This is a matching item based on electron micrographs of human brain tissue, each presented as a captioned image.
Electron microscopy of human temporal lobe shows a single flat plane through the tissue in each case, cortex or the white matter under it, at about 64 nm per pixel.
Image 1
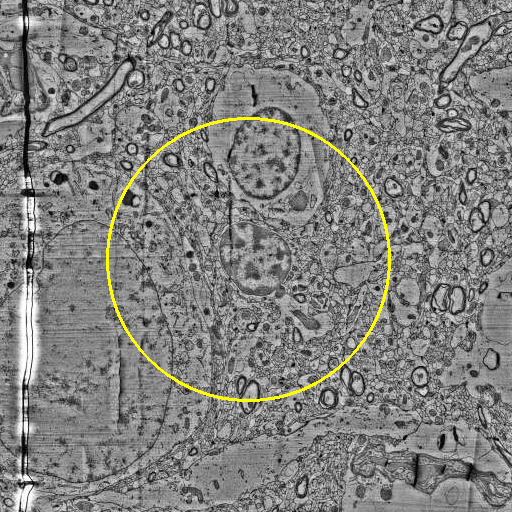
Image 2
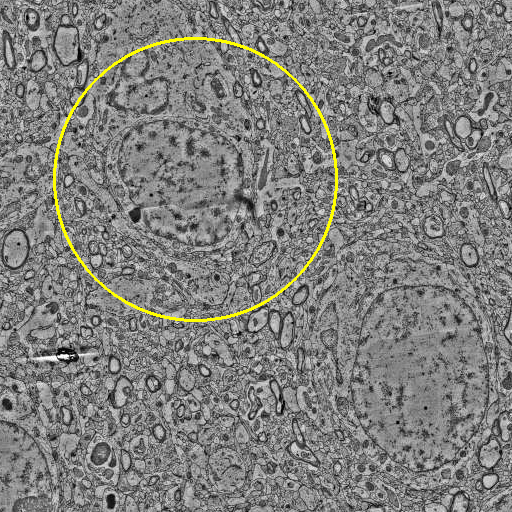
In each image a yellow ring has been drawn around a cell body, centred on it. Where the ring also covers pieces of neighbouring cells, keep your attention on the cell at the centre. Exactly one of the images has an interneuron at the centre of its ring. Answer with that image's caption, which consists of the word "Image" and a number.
Image 2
